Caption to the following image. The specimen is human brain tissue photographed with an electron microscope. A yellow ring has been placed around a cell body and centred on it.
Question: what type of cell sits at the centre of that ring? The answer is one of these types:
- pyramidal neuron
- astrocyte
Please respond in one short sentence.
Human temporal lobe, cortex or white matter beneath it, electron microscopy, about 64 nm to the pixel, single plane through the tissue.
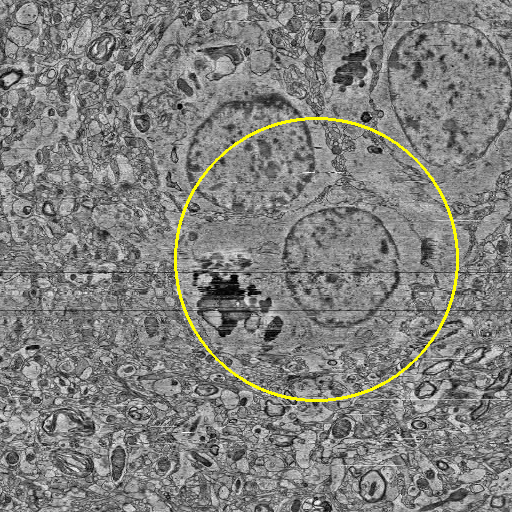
The ring surrounds the cell body of an astrocyte.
